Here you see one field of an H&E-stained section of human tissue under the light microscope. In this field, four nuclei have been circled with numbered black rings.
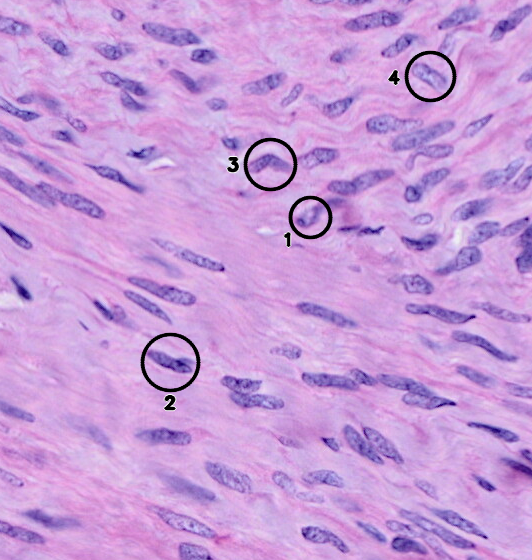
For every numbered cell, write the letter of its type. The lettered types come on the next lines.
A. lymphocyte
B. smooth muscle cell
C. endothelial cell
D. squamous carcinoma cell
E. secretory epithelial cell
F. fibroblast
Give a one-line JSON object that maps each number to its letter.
{"1": "B", "2": "F", "3": "B", "4": "B"}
